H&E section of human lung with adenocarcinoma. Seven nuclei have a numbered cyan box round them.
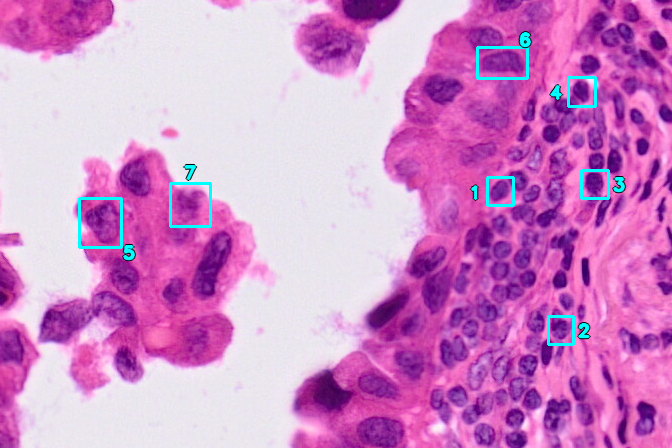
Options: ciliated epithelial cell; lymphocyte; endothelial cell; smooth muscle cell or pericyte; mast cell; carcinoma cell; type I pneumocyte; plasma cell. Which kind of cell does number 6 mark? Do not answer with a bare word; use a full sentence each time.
Number 6 is placed on a carcinoma cell here.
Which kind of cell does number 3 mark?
The numbered cell 3 in this field is a lymphocyte.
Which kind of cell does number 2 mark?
Among the marked nuclei, number 2 belongs to a lymphocyte.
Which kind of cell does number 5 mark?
Corresponding to a carcinoma cell is the cell labelled 5.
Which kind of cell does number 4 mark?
In this section, number 4 marks a lymphocyte.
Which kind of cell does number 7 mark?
The numbered cell 7 in this field is a carcinoma cell.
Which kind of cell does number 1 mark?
The cell to which the number 1 is assigned is a lymphocyte.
